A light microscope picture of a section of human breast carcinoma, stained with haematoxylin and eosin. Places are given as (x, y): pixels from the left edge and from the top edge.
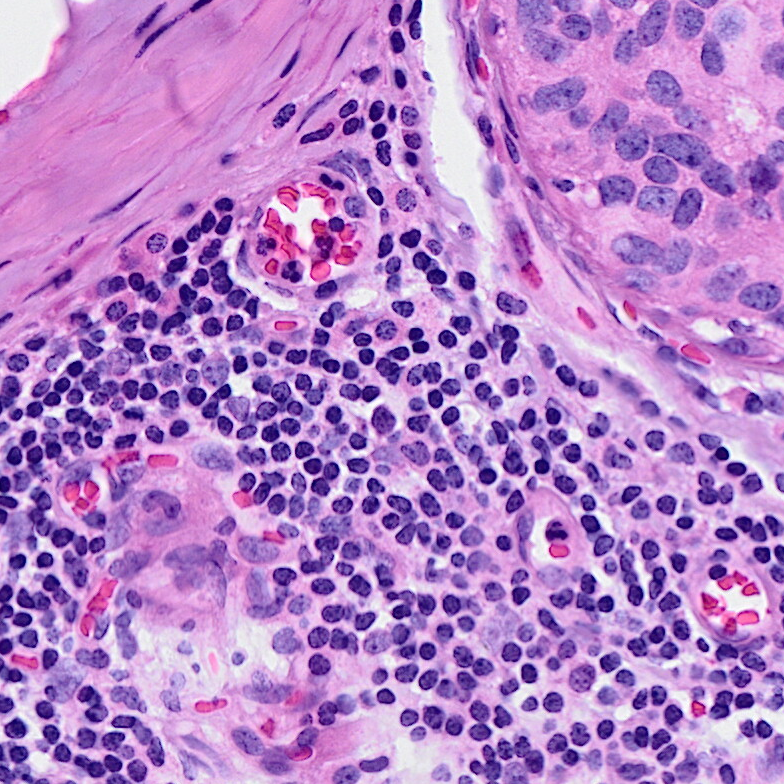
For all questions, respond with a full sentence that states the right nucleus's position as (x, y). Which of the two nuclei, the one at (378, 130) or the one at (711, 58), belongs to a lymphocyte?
The nucleus at (378, 130), rather than the other, belongs to a lymphocyte.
